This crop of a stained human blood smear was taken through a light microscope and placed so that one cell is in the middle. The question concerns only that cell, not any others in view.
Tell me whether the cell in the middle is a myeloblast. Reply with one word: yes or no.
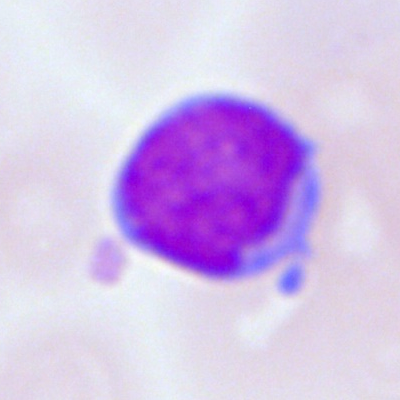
yes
